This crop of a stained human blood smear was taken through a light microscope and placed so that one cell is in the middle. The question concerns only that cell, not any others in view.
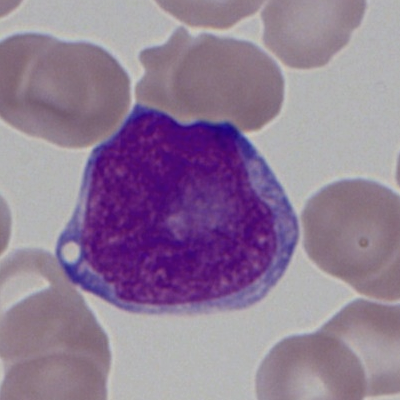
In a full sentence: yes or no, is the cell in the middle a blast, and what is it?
Yes, that is a blast in the middle of the crop.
